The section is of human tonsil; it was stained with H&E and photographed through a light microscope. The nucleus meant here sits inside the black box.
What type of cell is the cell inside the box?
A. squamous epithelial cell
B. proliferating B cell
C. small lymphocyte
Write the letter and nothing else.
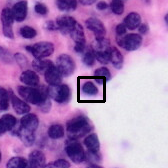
C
